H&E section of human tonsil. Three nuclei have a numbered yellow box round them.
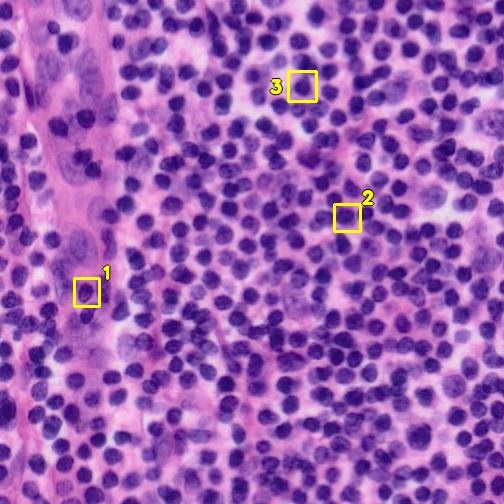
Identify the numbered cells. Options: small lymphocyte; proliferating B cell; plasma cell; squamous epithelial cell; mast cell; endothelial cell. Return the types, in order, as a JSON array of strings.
["endothelial cell", "small lymphocyte", "small lymphocyte"]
